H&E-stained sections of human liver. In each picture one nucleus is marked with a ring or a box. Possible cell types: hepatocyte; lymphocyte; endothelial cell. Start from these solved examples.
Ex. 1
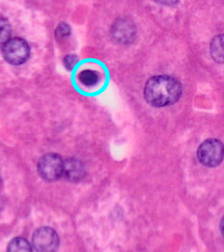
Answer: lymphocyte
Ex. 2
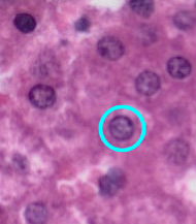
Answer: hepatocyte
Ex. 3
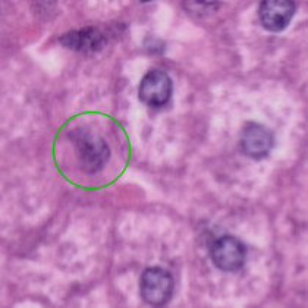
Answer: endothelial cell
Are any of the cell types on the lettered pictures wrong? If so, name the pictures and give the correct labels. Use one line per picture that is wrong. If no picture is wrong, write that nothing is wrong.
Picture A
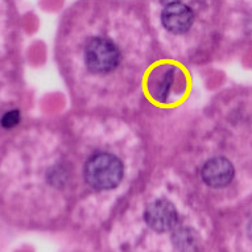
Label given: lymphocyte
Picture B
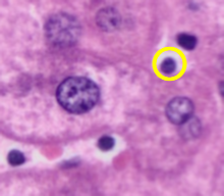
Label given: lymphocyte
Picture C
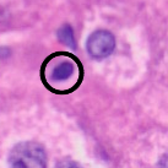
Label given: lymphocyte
A: not lymphocyte but endothelial cell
